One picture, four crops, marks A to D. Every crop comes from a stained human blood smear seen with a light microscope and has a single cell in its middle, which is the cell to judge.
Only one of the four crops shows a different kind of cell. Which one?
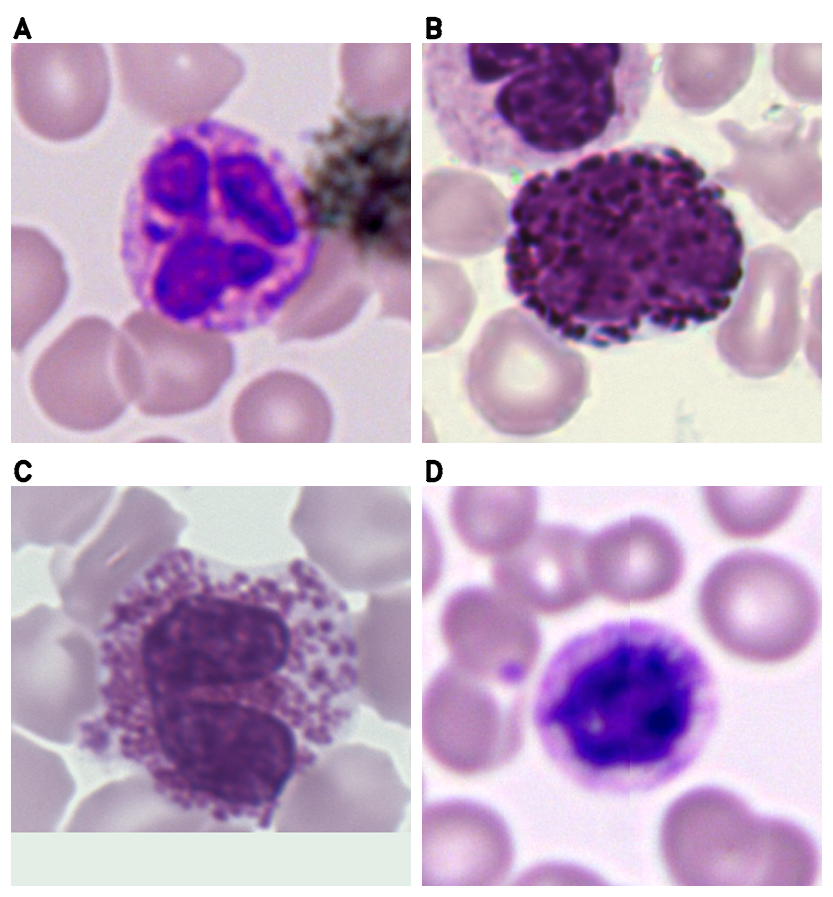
C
